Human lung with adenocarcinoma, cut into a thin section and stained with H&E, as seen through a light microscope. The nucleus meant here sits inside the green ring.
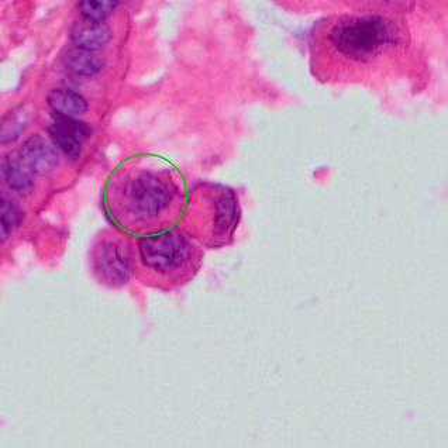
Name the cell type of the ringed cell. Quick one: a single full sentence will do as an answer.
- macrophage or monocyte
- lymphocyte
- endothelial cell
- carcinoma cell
It is as a carcinoma cell that the ringed cell is recorded.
